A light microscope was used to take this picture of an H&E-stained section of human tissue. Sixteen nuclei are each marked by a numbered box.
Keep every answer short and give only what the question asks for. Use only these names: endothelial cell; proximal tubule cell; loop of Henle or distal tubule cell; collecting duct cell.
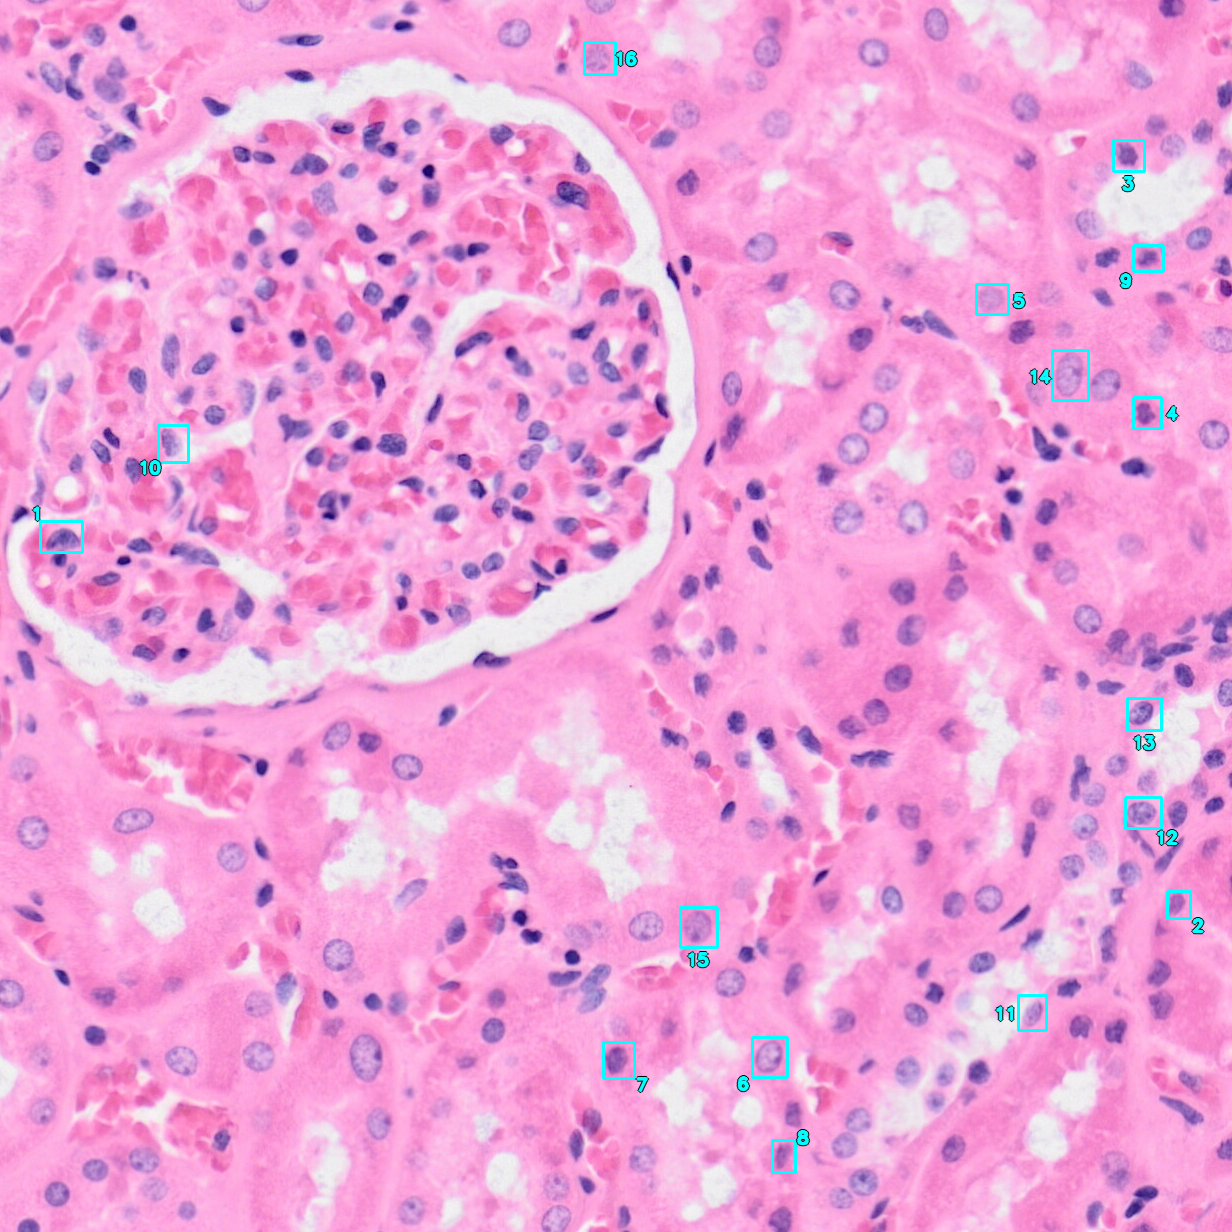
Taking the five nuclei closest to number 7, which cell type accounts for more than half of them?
endothelial cell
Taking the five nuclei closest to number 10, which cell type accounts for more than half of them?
endothelial cell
